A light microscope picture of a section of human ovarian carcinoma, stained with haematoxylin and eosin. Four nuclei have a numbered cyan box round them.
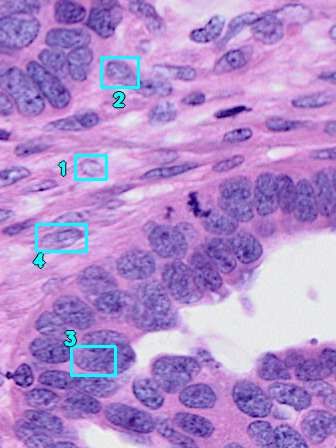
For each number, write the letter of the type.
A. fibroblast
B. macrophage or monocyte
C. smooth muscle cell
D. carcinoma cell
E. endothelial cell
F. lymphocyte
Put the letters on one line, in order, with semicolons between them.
A; A; D; A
